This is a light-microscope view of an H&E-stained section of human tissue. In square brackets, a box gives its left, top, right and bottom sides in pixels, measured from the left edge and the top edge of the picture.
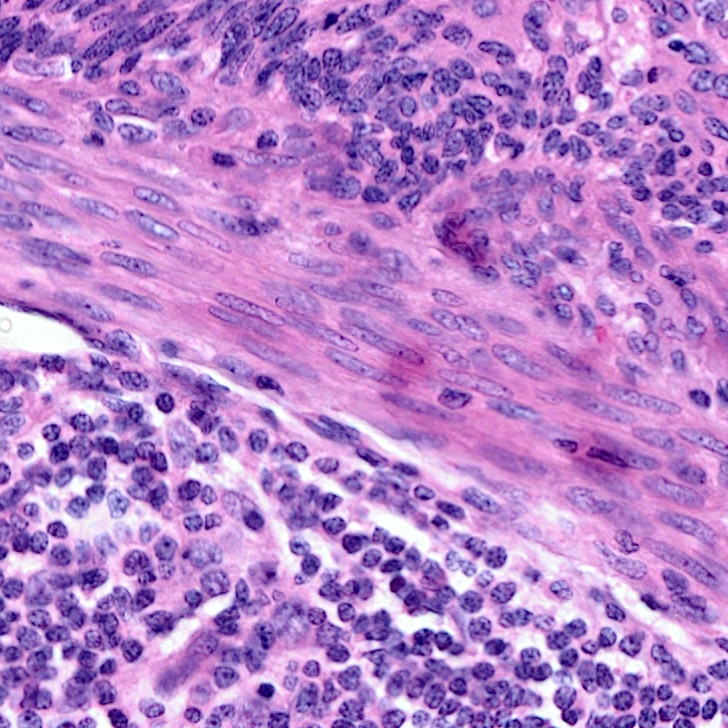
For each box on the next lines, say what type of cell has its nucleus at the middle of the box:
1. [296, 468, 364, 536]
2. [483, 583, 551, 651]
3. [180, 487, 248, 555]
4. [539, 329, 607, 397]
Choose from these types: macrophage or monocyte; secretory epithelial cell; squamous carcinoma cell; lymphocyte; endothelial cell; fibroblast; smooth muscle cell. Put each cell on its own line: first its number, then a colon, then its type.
1: lymphocyte
2: lymphocyte
3: lymphocyte
4: smooth muscle cell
